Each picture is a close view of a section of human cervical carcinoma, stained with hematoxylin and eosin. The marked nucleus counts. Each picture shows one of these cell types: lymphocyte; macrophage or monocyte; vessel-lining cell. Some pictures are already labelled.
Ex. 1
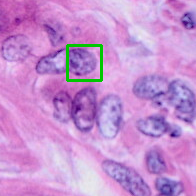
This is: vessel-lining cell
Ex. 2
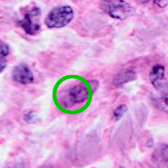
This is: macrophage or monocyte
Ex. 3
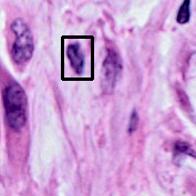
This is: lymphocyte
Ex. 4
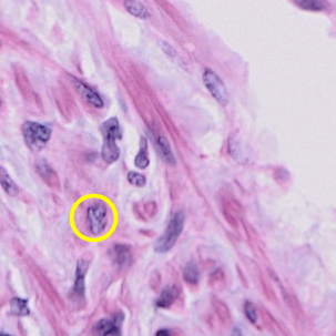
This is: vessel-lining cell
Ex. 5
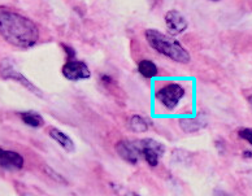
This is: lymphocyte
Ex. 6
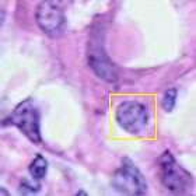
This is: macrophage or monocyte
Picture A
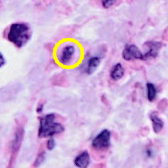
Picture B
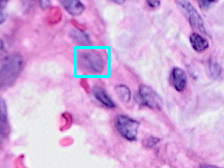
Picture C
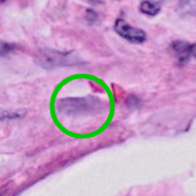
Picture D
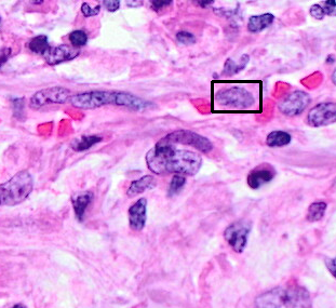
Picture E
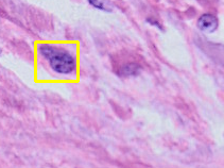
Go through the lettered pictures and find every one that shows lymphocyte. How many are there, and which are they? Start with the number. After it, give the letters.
1: A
